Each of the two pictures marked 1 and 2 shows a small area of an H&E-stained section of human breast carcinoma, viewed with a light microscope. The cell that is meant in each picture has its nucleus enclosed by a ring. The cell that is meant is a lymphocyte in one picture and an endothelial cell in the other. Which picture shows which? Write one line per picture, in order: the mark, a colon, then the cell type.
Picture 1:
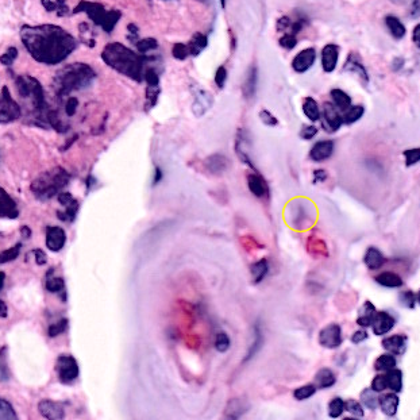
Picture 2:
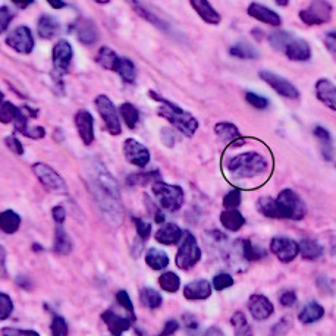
1: endothelial cell
2: lymphocyte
